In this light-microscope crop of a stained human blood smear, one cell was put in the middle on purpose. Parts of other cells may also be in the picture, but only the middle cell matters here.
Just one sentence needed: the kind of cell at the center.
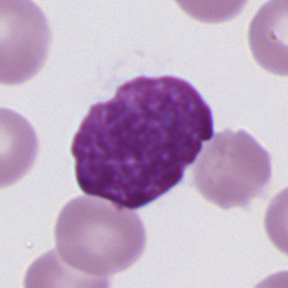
In the center of this field lies a smudge cell.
